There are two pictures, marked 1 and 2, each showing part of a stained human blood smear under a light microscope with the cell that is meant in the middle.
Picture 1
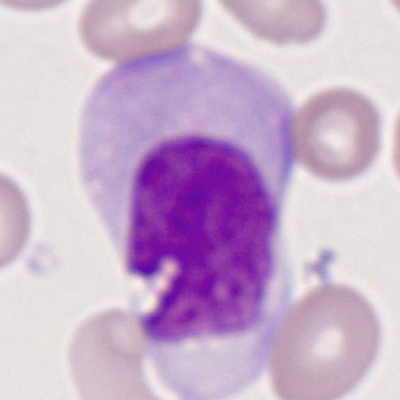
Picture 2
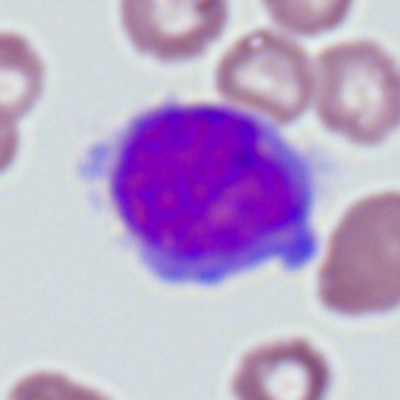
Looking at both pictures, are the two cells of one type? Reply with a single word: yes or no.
yes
